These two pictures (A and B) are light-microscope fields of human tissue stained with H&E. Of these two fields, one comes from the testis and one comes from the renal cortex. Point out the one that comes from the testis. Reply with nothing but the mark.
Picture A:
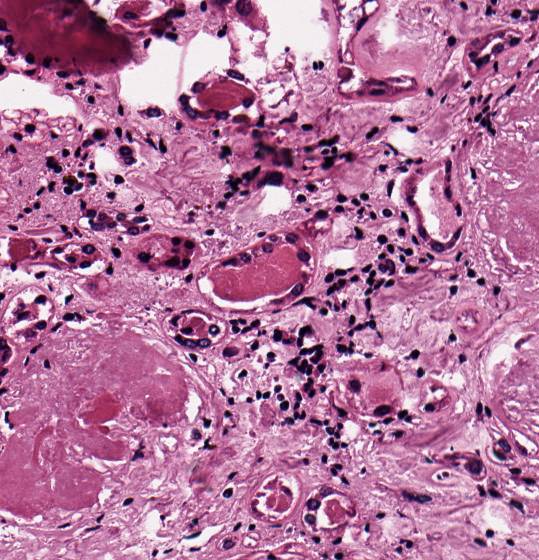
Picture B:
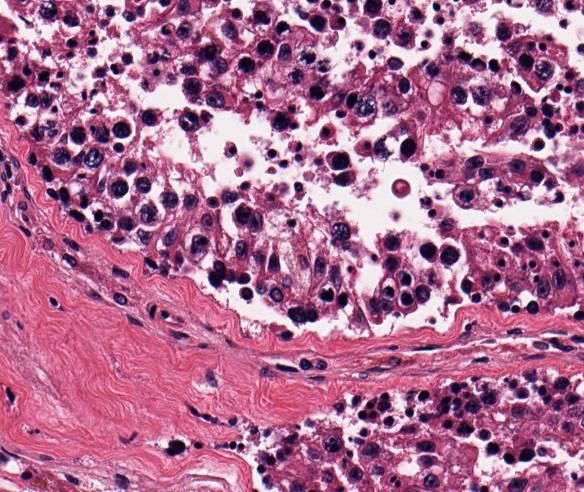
B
